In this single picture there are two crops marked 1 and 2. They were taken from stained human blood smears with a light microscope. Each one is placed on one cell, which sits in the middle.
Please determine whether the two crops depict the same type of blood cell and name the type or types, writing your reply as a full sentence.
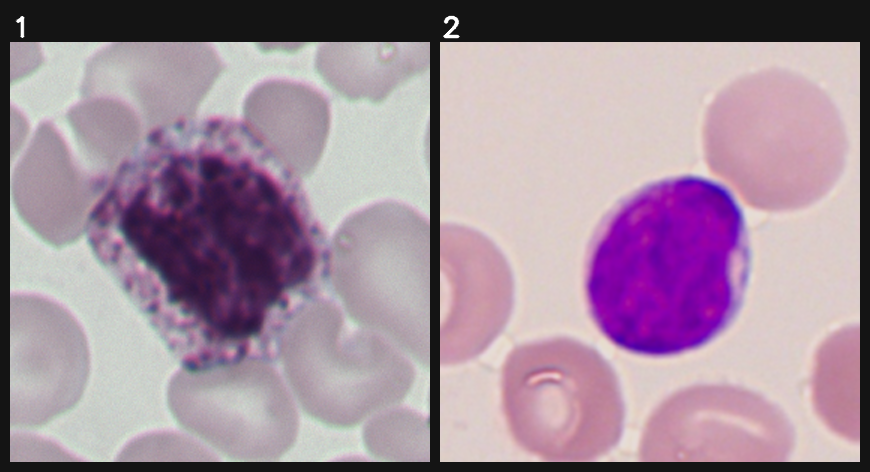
No, it is in crop 1 that a basophil is shown, and in crop 2 that a lymphocyte is shown.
